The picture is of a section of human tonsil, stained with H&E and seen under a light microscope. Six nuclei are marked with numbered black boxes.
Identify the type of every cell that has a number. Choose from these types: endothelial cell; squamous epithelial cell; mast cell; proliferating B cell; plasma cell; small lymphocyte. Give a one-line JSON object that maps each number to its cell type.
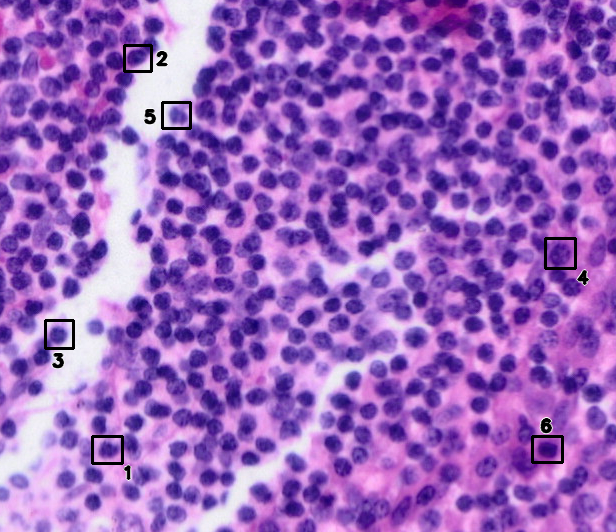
{"1": "small lymphocyte", "2": "small lymphocyte", "3": "small lymphocyte", "4": "plasma cell", "5": "small lymphocyte", "6": "plasma cell"}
